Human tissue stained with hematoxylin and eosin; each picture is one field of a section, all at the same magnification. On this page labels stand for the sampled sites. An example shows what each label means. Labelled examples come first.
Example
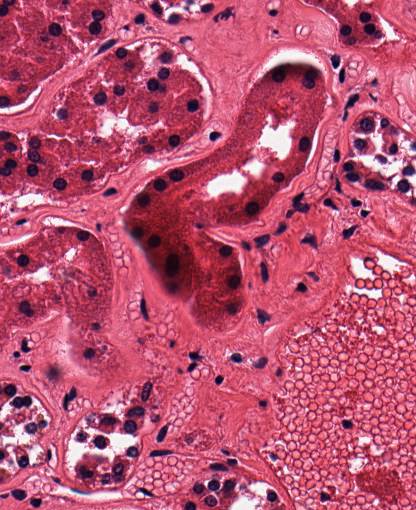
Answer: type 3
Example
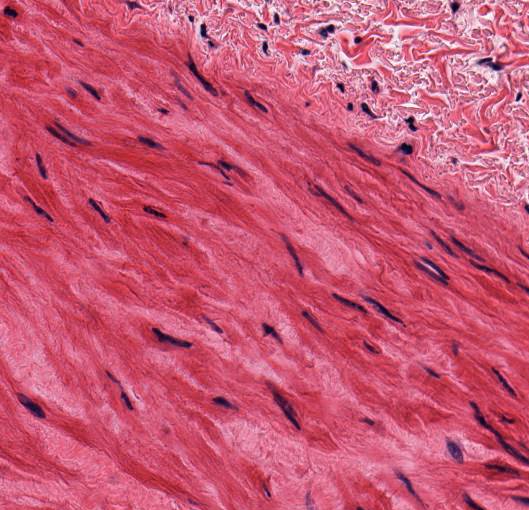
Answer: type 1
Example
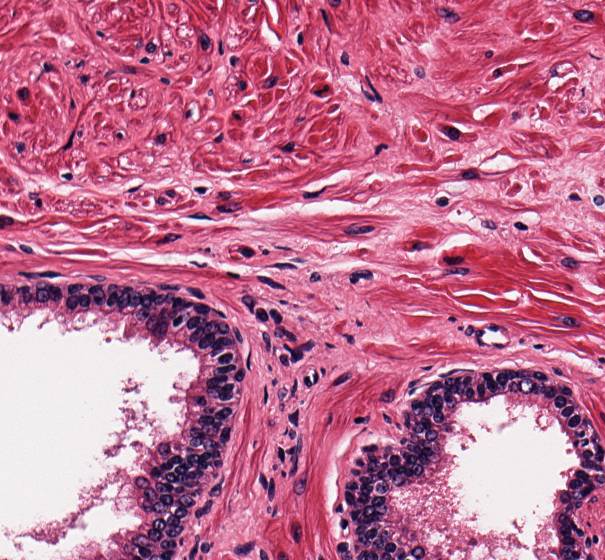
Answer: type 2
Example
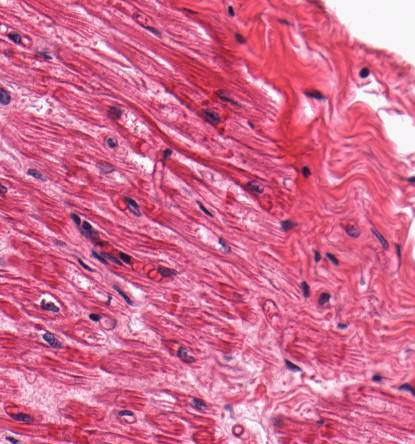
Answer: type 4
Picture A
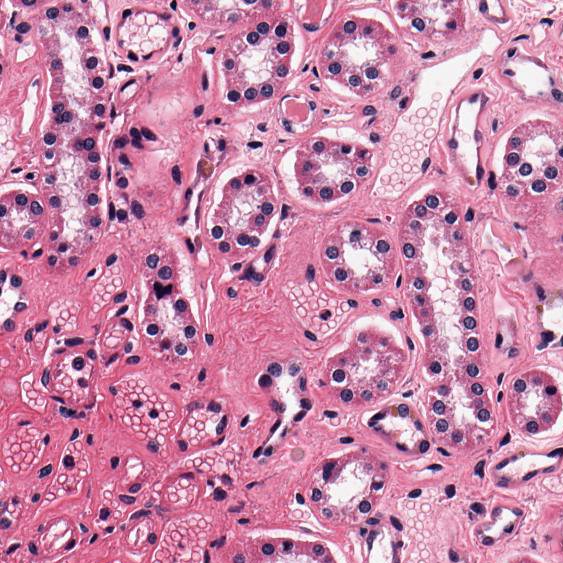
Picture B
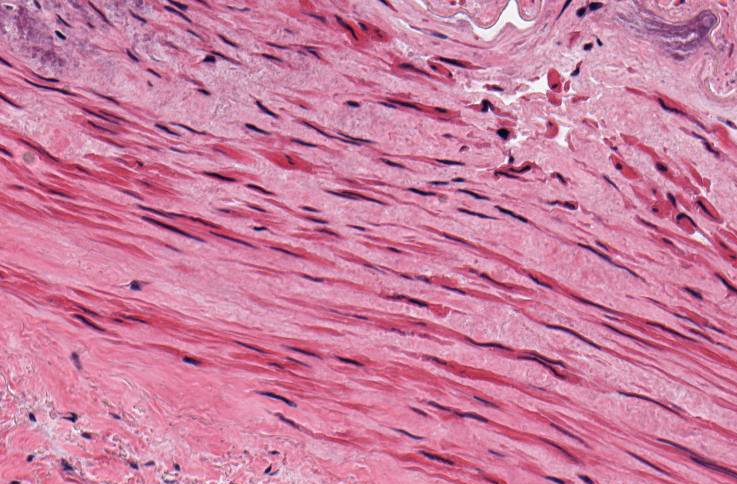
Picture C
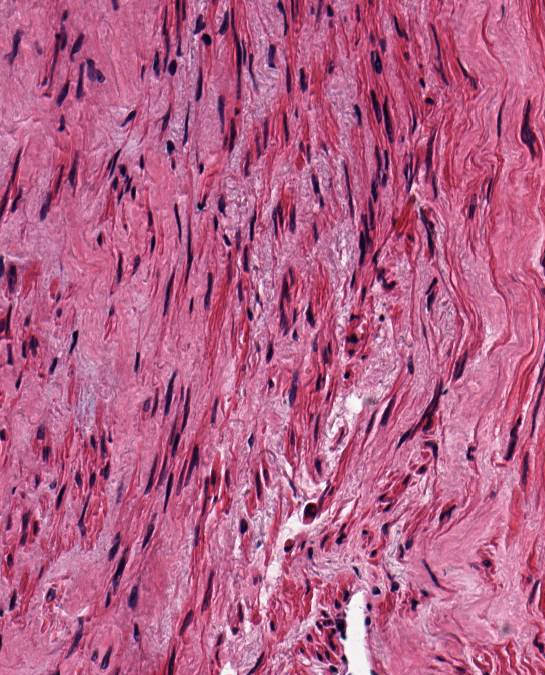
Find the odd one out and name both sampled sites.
Exception: A, showing type 3. Remaining pictures: type 1.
